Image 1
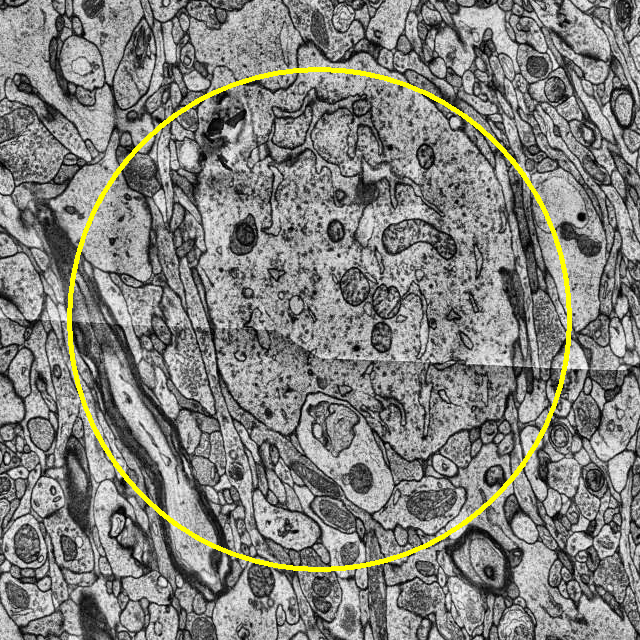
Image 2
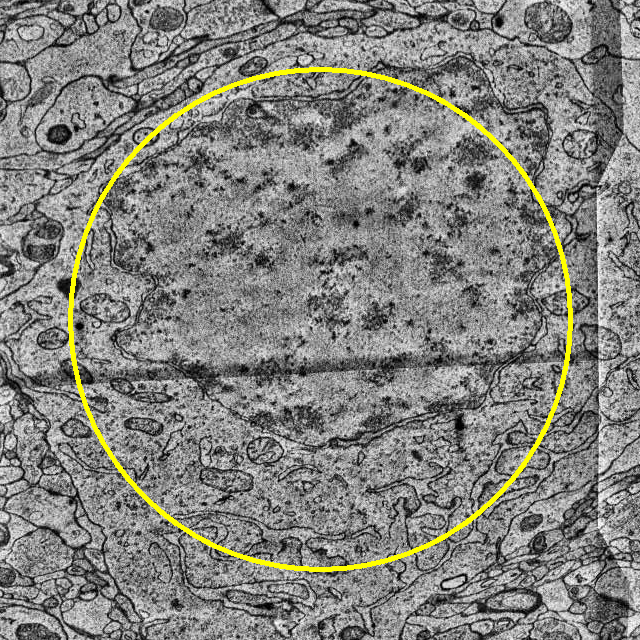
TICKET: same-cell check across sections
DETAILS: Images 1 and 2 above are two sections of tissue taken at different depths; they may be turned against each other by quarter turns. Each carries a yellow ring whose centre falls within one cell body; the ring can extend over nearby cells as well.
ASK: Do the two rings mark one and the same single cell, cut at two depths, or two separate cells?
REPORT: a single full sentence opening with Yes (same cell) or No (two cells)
Yes, one cell is ringed in yellow twice over.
